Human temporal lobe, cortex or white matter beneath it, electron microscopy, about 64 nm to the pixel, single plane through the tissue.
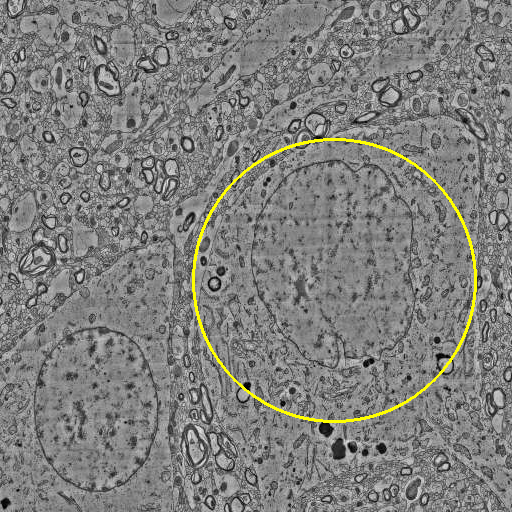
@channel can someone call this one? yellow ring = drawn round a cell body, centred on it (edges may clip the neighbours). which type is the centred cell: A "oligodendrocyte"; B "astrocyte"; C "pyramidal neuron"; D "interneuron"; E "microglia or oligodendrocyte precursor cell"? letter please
C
